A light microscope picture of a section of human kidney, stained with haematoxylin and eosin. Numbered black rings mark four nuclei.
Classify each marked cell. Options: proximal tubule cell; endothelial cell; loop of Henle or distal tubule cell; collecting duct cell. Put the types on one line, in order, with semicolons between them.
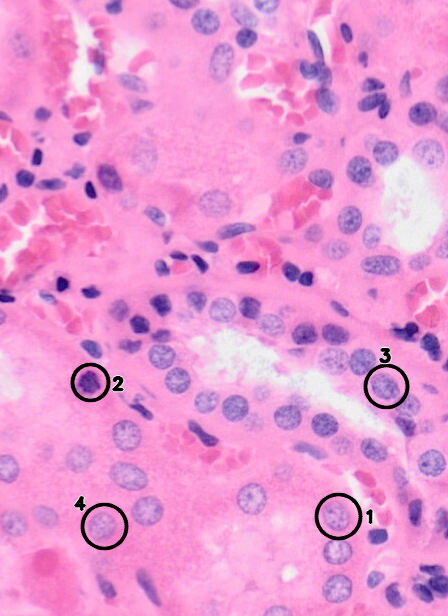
proximal tubule cell; proximal tubule cell; collecting duct cell; proximal tubule cell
